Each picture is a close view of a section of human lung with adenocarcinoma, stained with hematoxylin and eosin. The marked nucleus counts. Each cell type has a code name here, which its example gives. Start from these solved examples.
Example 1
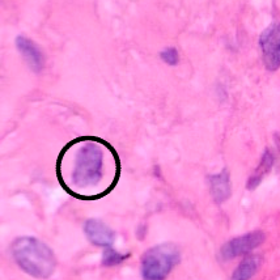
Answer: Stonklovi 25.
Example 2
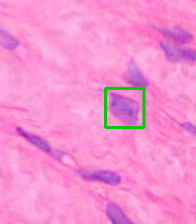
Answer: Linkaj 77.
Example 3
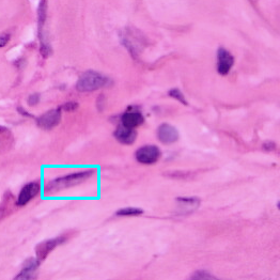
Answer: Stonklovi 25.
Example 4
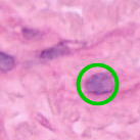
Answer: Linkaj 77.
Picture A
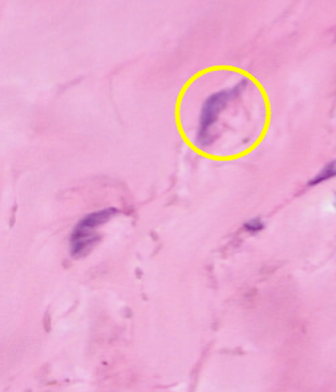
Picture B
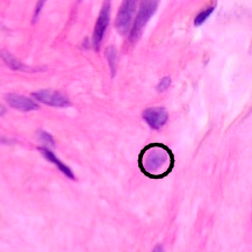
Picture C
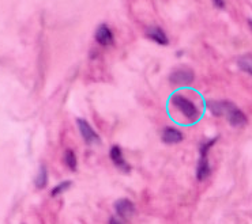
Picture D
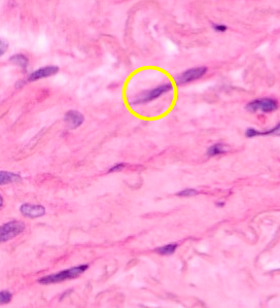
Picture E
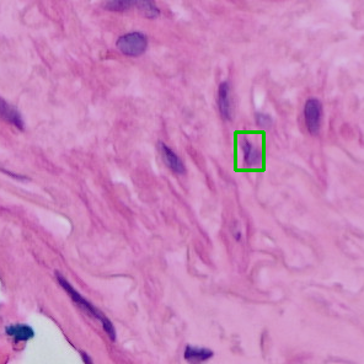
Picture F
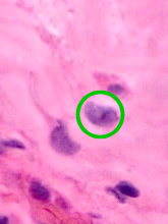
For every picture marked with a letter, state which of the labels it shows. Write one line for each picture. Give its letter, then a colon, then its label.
A: Stonklovi 25.
B: Linkaj 77.
C: Linkaj 77.
D: Linkaj 77.
E: Linkaj 77.
F: Stonklovi 25.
